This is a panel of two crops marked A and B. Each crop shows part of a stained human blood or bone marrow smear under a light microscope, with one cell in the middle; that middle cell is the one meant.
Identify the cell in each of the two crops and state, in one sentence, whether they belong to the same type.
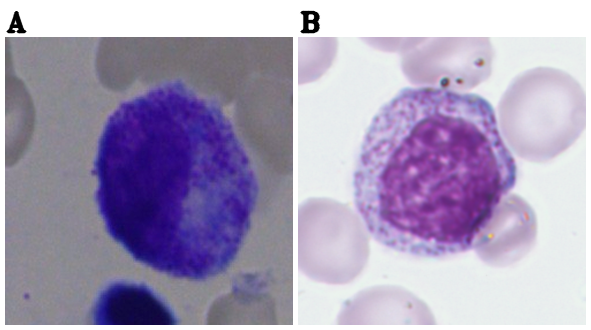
Yes, the cells at the middle of both crops are myelocytes.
